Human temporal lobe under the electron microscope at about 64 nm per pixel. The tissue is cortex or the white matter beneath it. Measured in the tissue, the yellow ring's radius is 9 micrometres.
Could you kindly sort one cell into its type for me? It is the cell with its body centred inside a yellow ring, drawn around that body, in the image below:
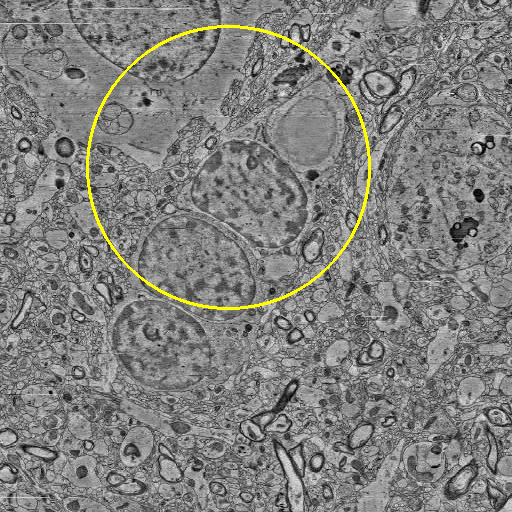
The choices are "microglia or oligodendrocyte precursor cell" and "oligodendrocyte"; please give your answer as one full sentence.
The cell whose body lies centred in the yellow ring here is a microglial cell or oligodendrocyte precursor cell.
